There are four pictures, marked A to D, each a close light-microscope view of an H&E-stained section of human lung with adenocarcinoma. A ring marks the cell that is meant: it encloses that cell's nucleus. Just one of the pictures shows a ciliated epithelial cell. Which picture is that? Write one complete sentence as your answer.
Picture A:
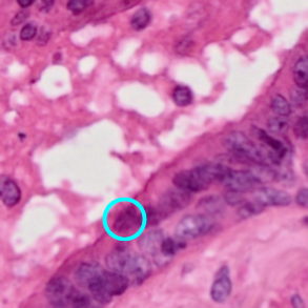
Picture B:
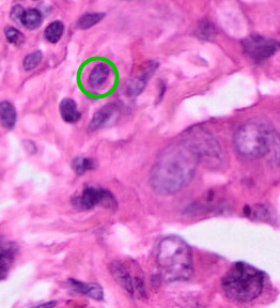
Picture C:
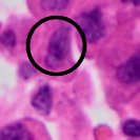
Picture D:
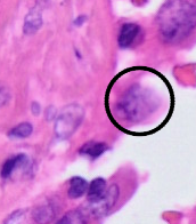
Picture A is the one that shows the ciliated epithelial cell.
